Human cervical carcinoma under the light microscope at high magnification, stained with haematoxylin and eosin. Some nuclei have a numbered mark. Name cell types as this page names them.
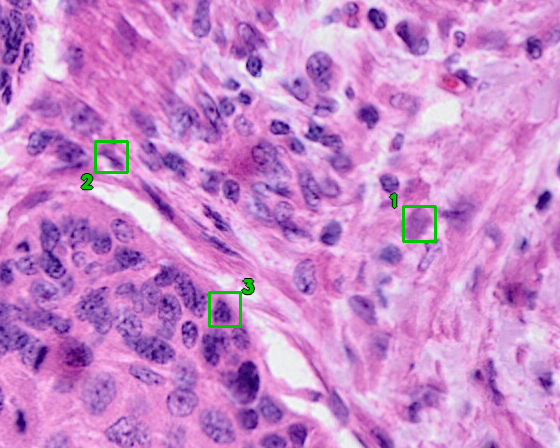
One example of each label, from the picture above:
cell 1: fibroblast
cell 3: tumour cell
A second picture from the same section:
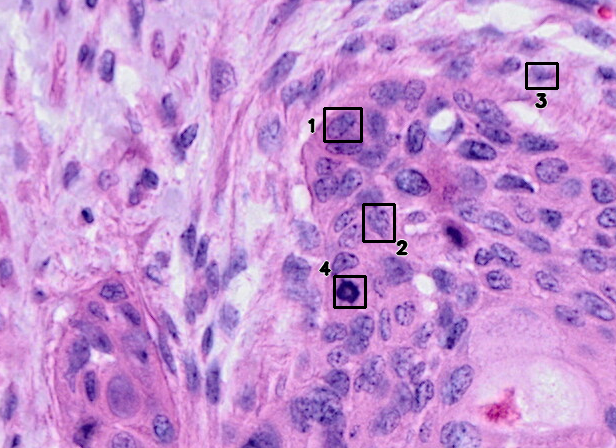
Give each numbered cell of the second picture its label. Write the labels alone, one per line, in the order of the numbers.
tumour cell
tumour cell
fibroblast
tumour cell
